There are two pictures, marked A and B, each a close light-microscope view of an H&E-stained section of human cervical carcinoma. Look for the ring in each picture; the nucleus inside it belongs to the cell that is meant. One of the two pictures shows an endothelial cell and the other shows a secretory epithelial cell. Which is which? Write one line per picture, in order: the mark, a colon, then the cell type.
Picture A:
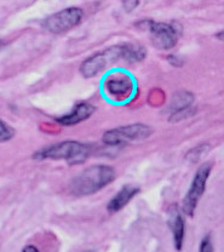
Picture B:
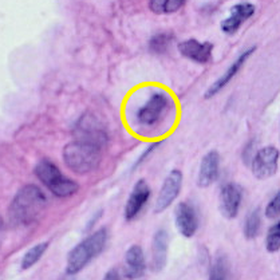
A: endothelial cell
B: secretory epithelial cell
